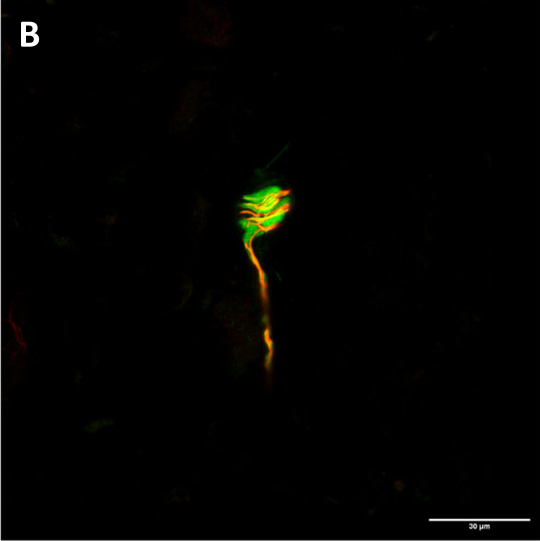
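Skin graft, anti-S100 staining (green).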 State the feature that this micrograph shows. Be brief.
Meissner corpuscle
